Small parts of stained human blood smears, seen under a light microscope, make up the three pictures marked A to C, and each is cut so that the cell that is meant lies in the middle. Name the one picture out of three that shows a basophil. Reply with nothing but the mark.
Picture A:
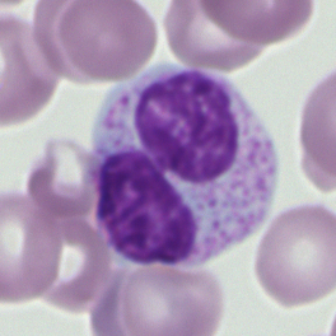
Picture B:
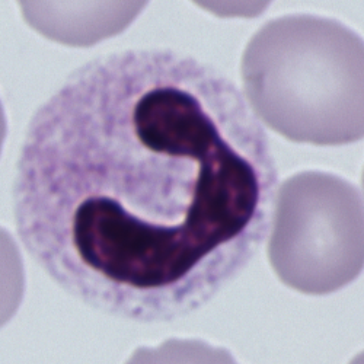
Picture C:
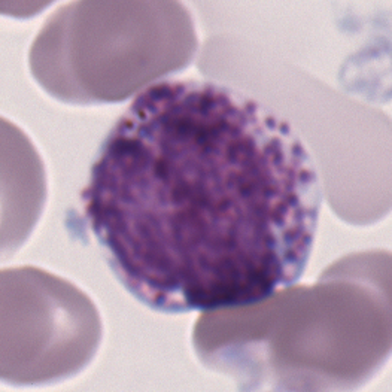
C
